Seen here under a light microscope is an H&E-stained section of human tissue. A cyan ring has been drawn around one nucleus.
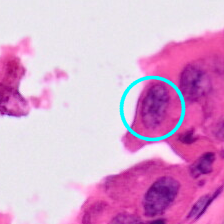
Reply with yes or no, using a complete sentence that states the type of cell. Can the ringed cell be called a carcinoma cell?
Yes, the identification stands: the ringed cell is a carcinoma cell.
